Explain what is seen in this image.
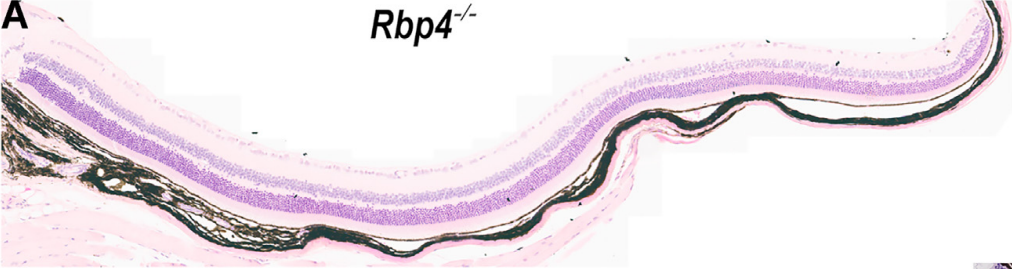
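This is a cross-section of the layered neural retina above the black-brown pigmented choroid. The layers are in their normal order, with a thin inner row of nuclei, a pale pink plexiform band, an inner band of nuclei and an outer nuclear layer of small, densely packed photoreceptor nuclei. The retina and pigmented layer follow an undulating course along the length of the section.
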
